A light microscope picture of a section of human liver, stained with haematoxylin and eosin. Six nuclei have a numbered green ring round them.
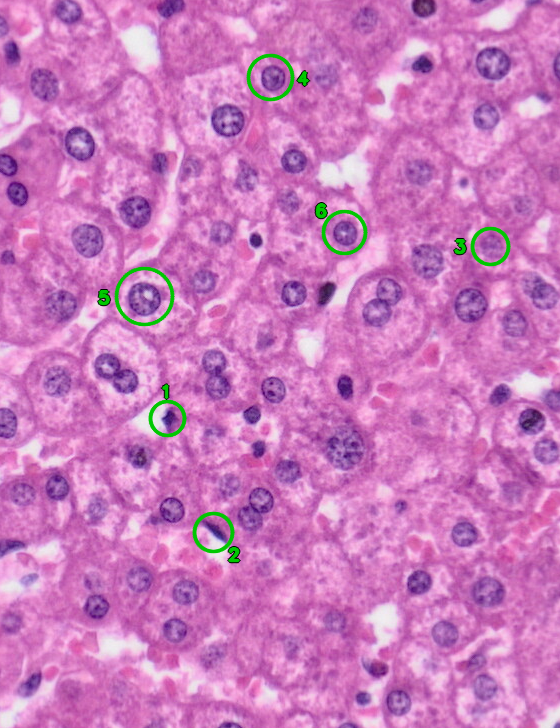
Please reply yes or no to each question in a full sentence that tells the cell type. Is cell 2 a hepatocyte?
No, the cell carrying number 2 is an endothelial cell rather than a hepatocyte.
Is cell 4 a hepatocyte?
Yes, cell number 4 is classified as a hepatocyte.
